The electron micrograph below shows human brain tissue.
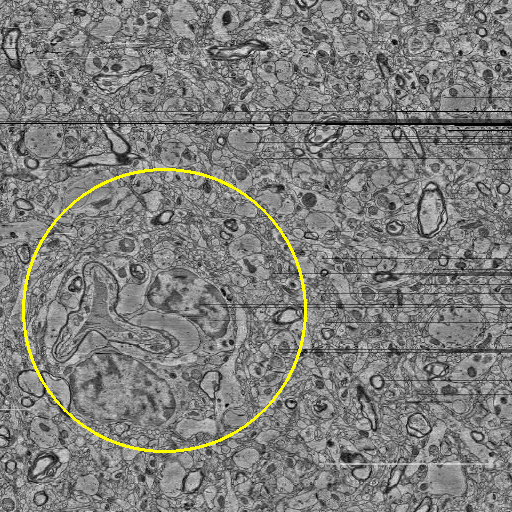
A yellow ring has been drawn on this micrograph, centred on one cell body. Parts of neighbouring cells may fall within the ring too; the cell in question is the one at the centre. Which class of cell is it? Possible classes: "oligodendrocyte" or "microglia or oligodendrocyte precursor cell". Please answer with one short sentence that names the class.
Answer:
In the centre of the ring sits a microglial cell or oligodendrocyte precursor cell.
